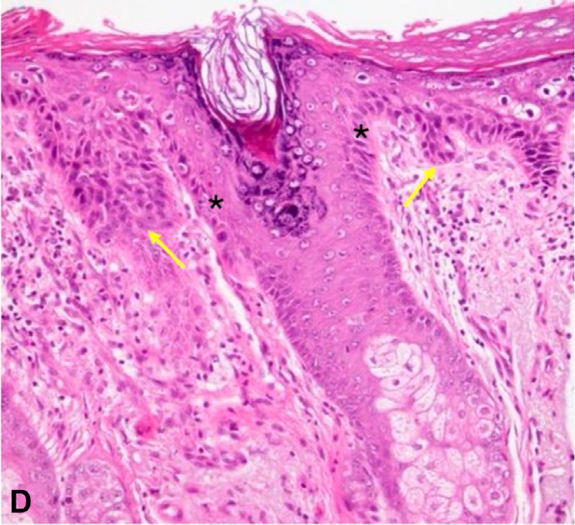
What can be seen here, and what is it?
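The follicular opening at the top is filled with layered pale keratin, with a small pink plug at its base. Epidermal projections extend downward beside the follicle, and their lower ends are crowded with keratinocytes bearing enlarged, dark, unevenly sized nuclei. Near the bottom right lies a lobule of pale cells with foamy, vacuolated cytoplasm. The surrounding dermis is pale pink and fibrous, with scattered small dark nuclei.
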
